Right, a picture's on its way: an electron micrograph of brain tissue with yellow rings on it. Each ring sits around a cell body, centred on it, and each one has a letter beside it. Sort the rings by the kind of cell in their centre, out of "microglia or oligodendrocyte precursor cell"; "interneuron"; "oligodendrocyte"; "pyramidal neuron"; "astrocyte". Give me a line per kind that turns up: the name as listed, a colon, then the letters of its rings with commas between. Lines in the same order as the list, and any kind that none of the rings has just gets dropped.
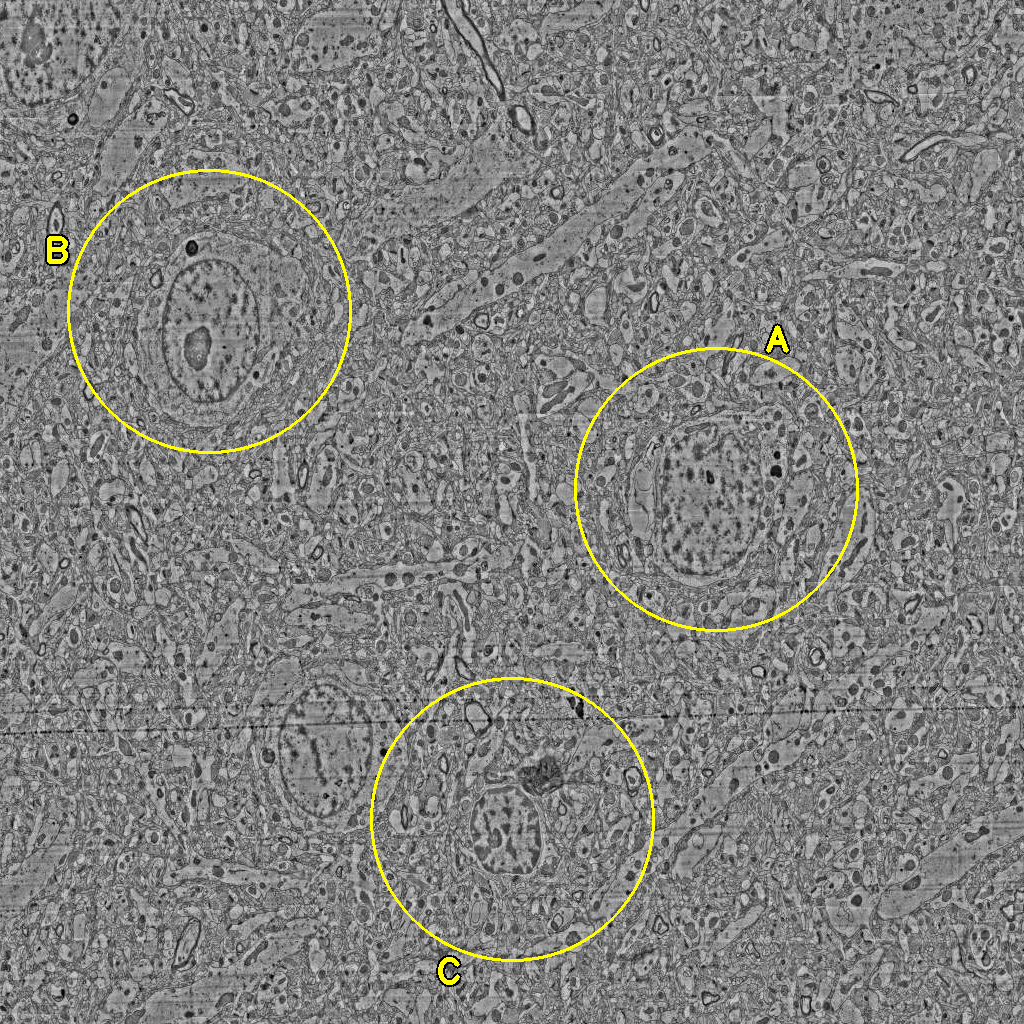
microglia or oligodendrocyte precursor cell: C
interneuron: A
pyramidal neuron: B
